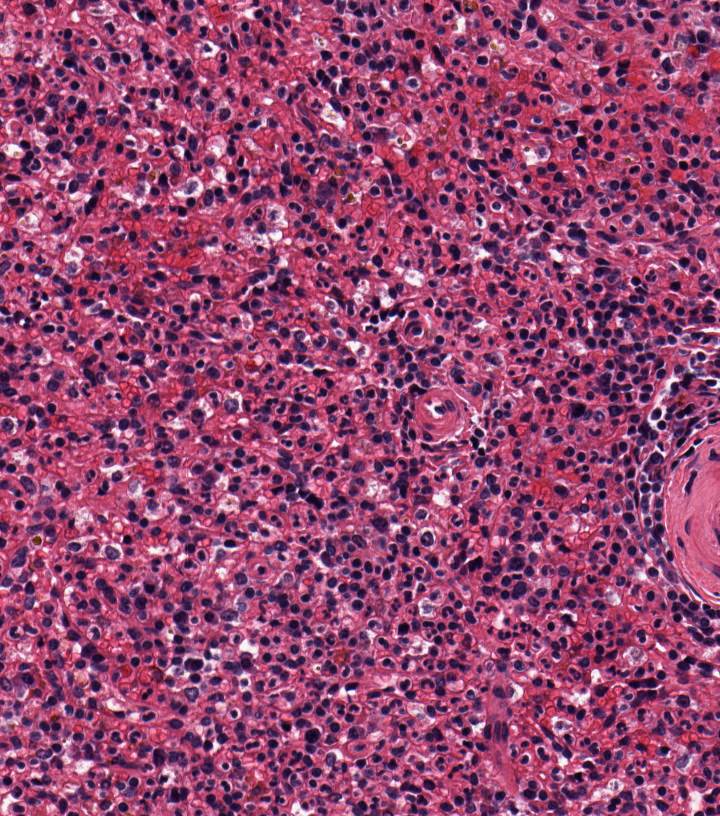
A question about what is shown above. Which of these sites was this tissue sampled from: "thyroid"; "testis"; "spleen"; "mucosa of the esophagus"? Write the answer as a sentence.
The site this tissue was sampled from is the spleen.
